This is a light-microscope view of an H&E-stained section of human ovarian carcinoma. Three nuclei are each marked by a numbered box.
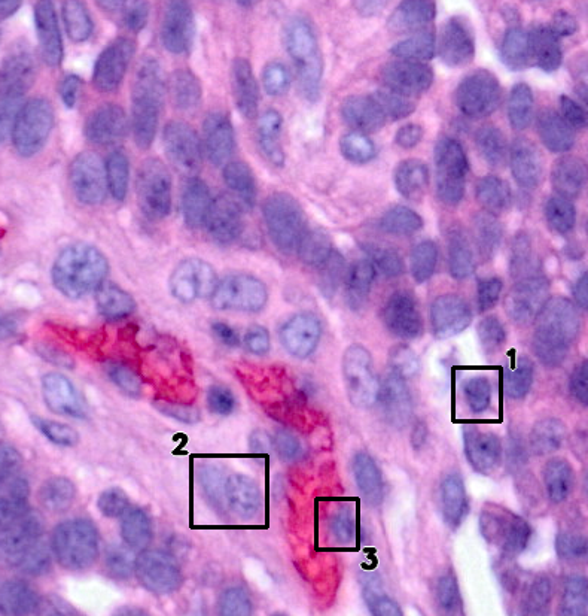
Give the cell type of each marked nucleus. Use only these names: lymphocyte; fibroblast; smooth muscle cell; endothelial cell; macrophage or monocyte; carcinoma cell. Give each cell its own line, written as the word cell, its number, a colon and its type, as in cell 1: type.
cell 1: macrophage or monocyte
cell 2: fibroblast
cell 3: endothelial cell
